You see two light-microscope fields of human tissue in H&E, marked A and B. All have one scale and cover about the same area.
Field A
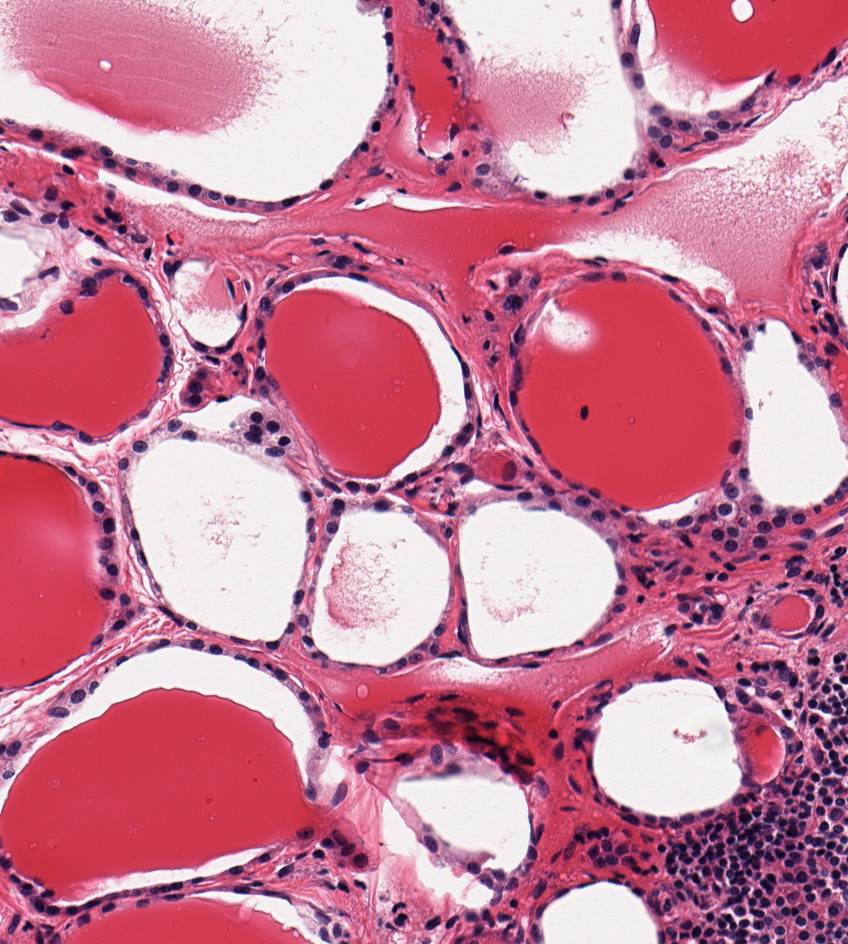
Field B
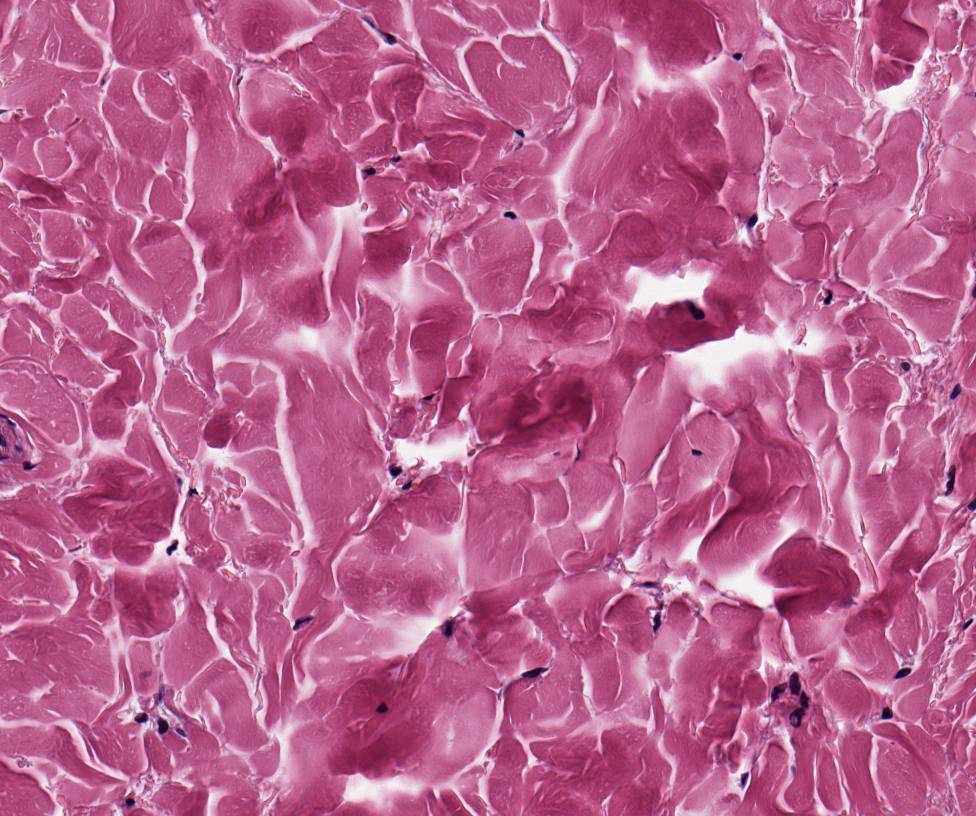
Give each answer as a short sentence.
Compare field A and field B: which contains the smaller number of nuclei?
It is field B that has fewer nuclei in it.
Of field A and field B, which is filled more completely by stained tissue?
Less of field B is empty and white.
